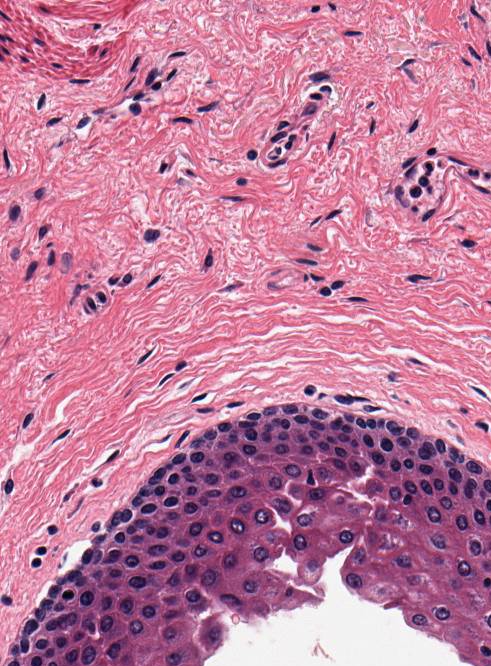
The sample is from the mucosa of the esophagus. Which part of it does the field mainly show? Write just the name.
loose connective tissue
